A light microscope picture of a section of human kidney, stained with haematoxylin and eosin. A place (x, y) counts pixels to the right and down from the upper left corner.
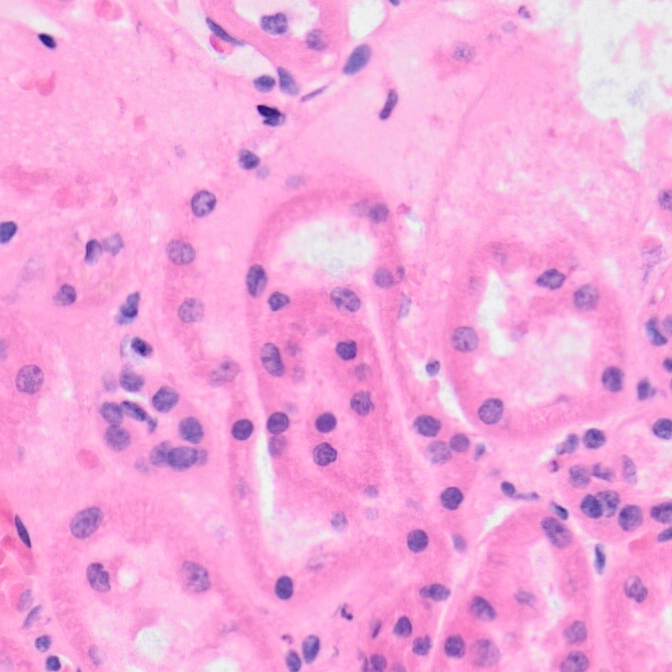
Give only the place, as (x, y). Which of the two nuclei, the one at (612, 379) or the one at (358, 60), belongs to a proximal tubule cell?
(612, 379)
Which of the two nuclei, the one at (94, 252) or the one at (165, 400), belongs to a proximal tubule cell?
(94, 252)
